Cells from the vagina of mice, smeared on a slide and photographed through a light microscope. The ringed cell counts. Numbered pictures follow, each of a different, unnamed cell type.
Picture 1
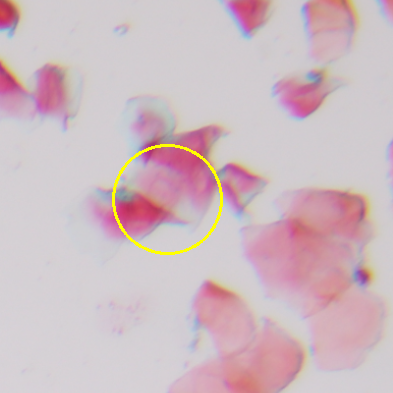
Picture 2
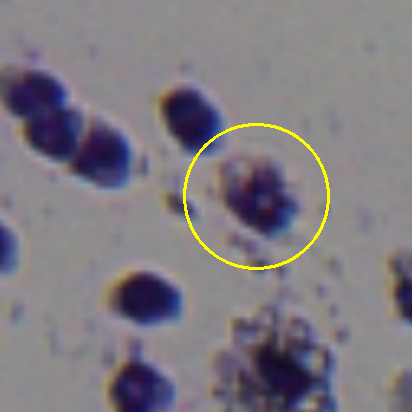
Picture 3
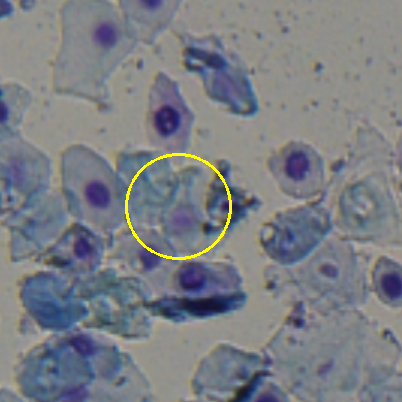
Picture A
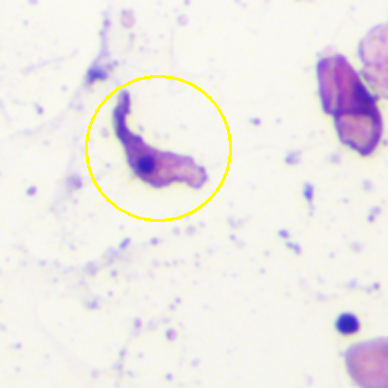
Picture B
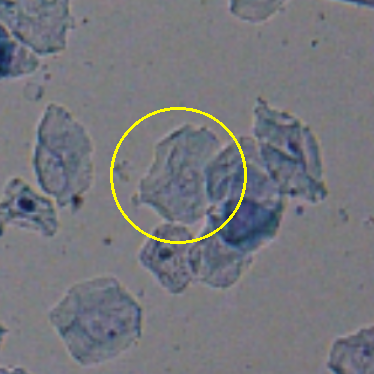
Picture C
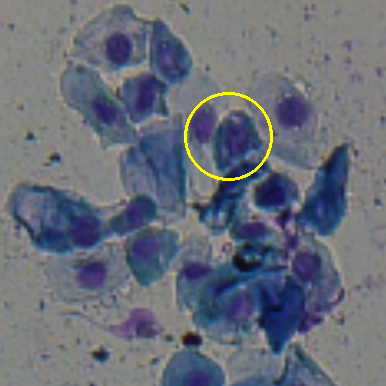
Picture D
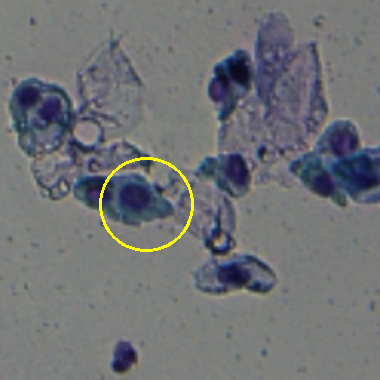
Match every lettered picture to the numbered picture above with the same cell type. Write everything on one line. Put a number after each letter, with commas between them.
A 3, B 1, C 3, D 3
